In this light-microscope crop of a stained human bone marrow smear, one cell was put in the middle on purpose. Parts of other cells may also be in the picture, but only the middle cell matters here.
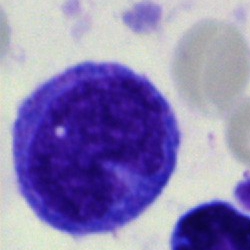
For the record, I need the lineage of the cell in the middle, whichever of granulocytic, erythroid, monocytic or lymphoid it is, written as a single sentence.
Among the lineages, the monocytic one is that of the central cell.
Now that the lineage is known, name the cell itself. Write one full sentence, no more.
The central cell shown in this smear crop is a monocyte.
